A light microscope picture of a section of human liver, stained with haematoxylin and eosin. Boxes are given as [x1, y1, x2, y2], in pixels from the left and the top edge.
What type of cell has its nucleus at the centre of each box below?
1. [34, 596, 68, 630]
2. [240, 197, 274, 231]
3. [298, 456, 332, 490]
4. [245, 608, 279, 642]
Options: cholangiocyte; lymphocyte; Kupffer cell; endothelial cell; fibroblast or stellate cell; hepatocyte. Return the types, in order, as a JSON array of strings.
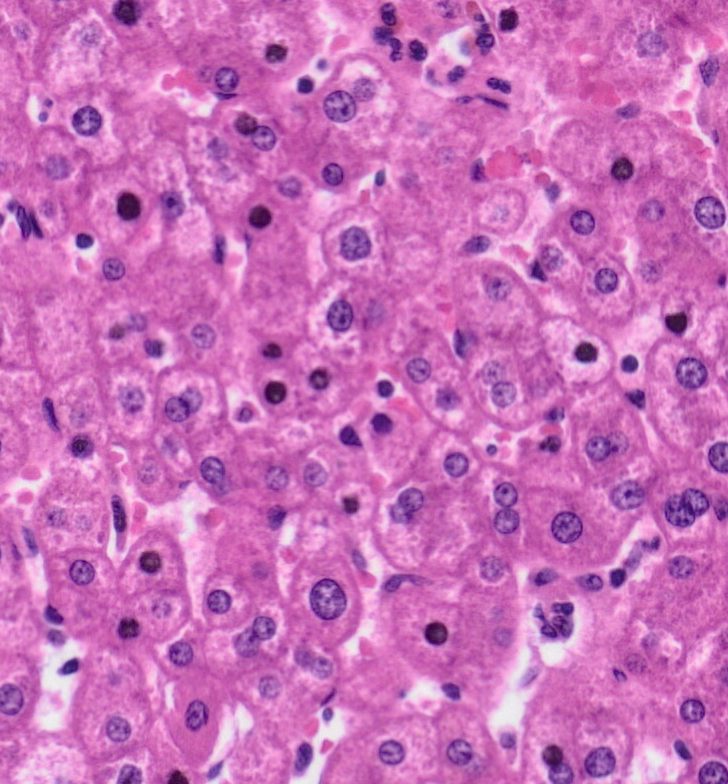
["fibroblast or stellate cell", "hepatocyte", "hepatocyte", "hepatocyte"]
